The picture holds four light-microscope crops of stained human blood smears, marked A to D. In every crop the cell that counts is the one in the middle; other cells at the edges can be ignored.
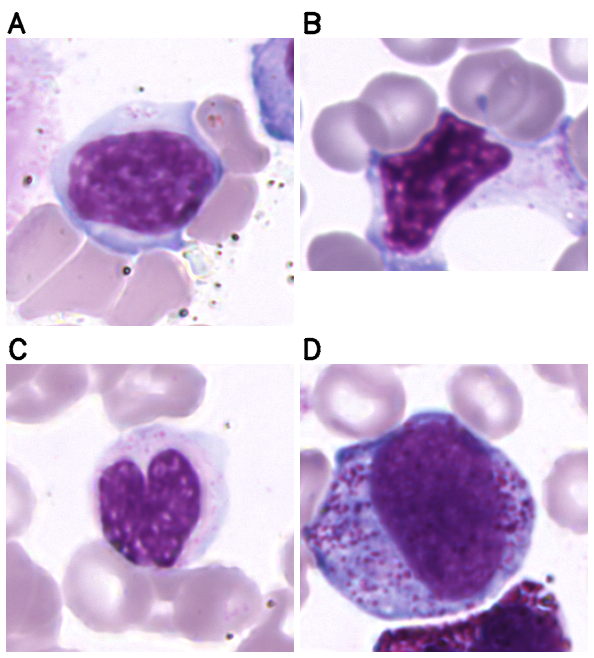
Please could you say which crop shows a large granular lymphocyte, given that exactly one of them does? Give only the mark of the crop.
B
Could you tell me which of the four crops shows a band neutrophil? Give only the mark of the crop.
C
